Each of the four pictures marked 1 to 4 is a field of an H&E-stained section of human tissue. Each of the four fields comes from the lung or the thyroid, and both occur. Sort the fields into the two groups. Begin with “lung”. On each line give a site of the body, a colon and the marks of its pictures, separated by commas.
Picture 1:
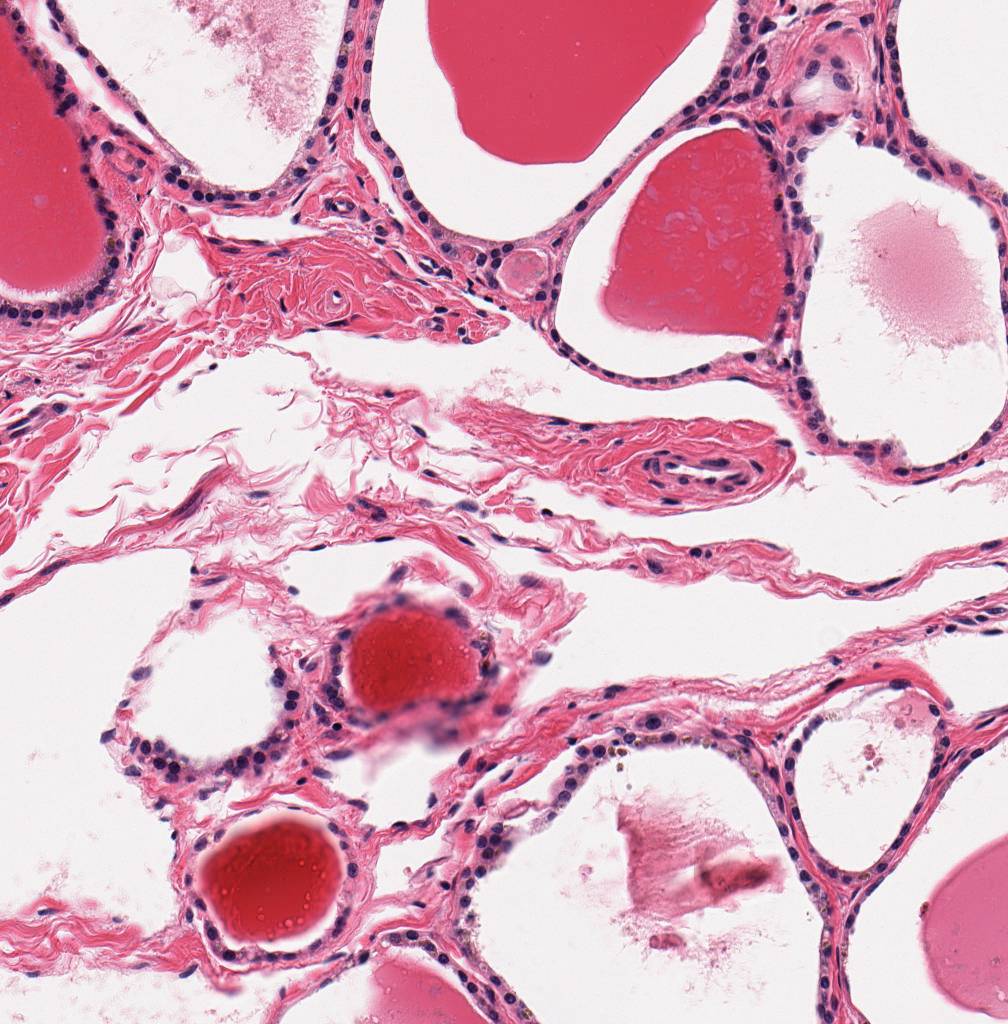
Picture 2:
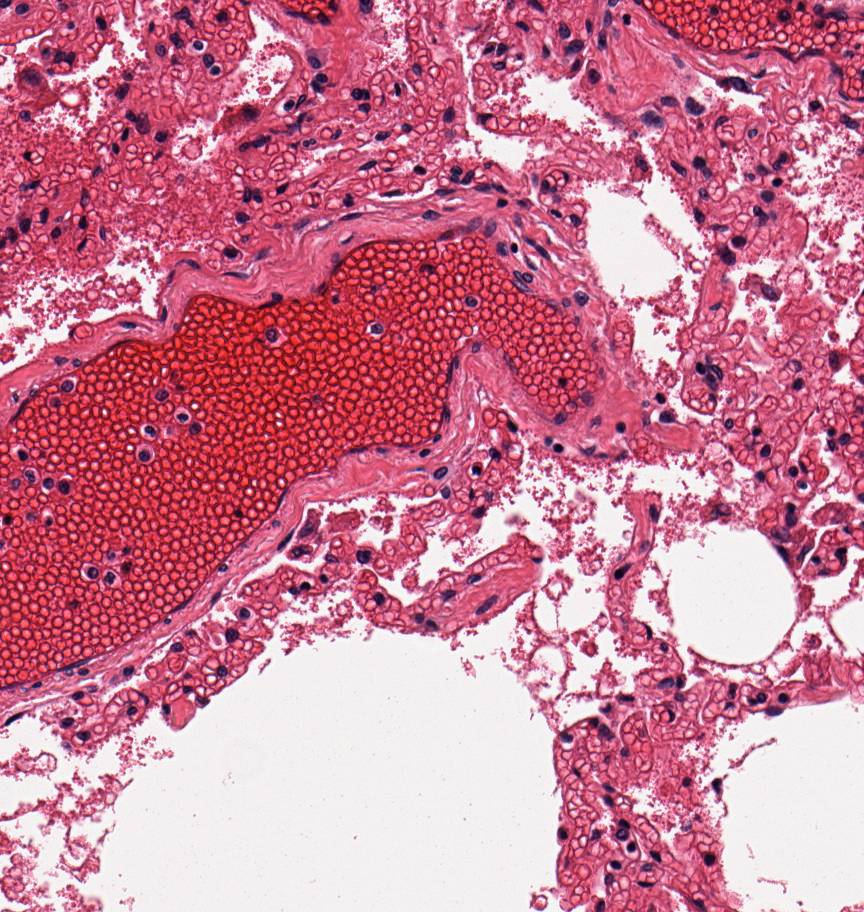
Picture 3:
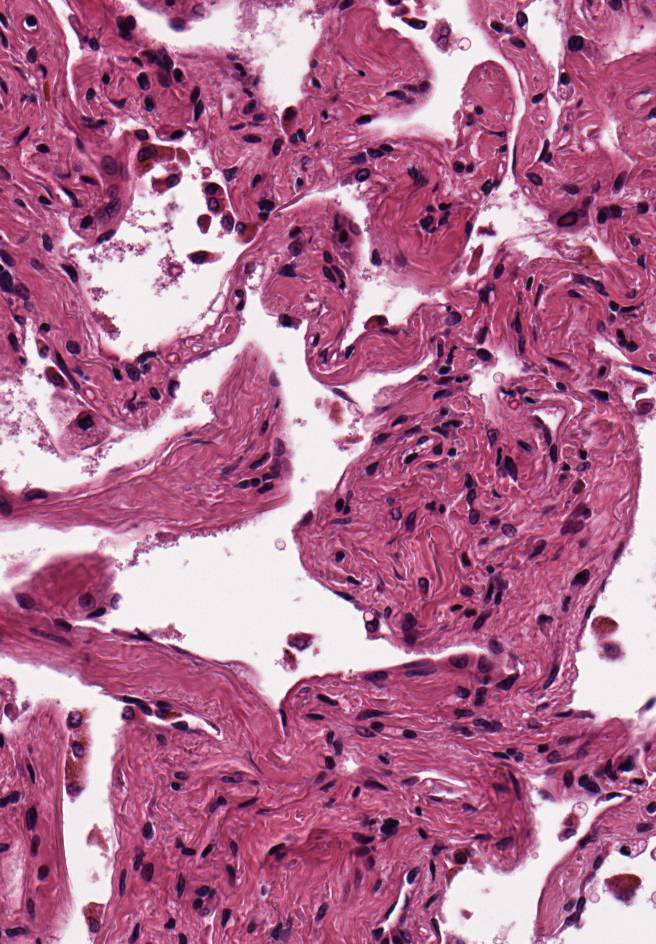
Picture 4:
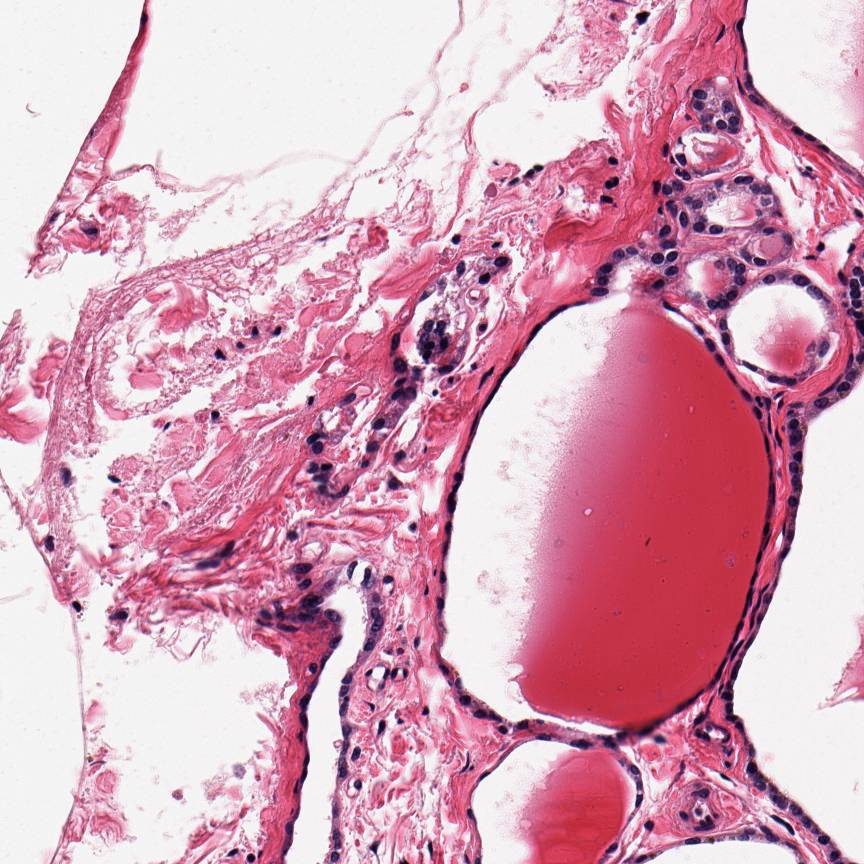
lung: 2, 3
thyroid: 1, 4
